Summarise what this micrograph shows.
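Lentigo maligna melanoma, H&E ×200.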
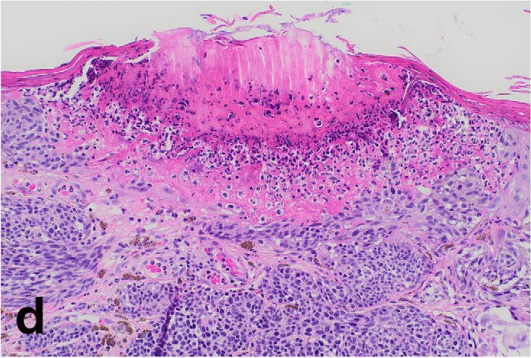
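Skin with an ulcerated surface: the epidermis is replaced centrally by a thick pink crust of fibrin laden with dark inflammatory nuclei. Beneath it, sheets and nests of crowded atypical cells with dark nuclei fill the dermis, with scattered brown pigment among them.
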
